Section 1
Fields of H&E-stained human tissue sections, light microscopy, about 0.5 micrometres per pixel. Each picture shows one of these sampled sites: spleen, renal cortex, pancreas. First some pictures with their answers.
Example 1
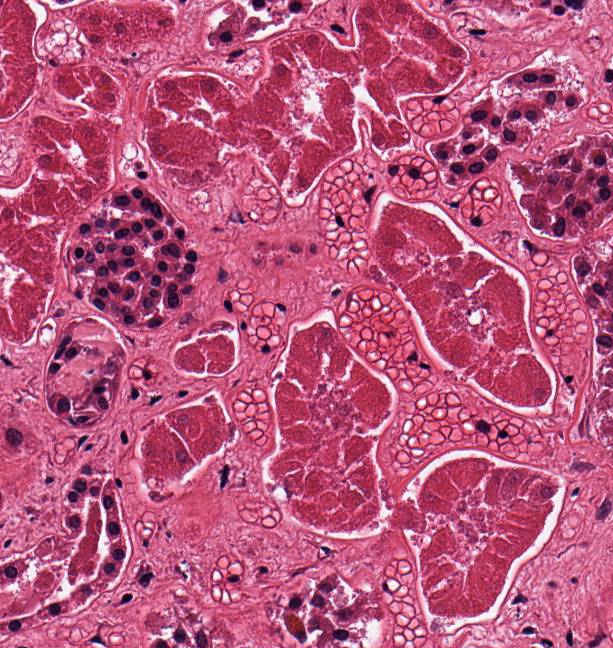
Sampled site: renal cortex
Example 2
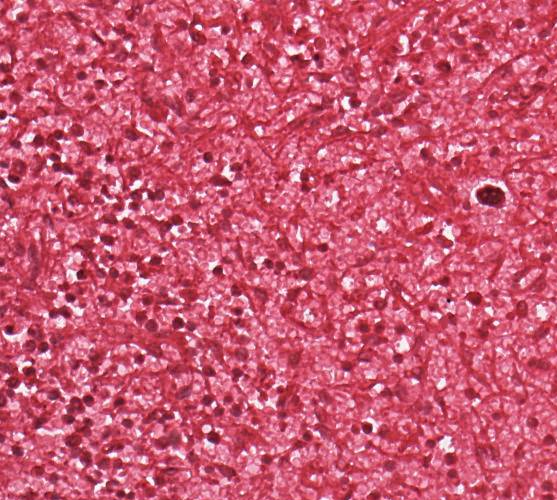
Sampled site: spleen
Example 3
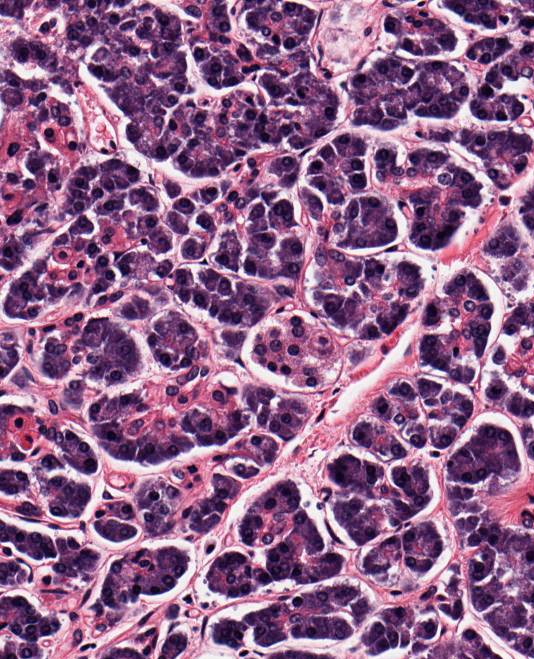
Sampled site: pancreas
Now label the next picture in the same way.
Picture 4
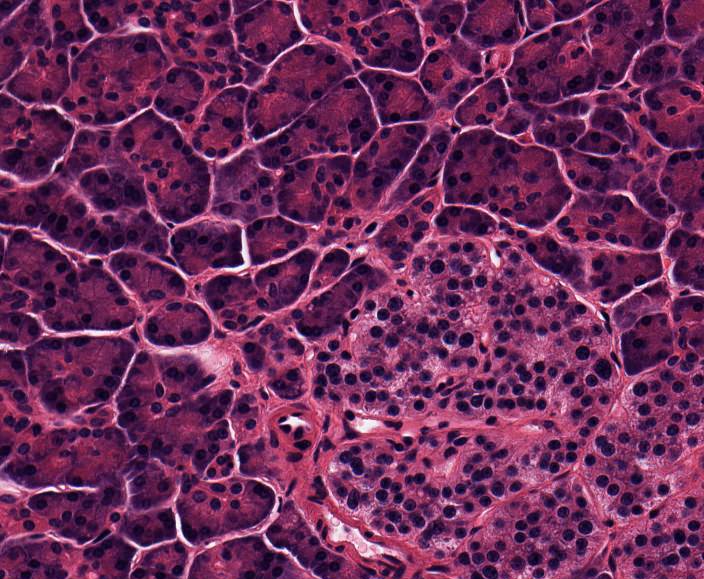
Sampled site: pancreas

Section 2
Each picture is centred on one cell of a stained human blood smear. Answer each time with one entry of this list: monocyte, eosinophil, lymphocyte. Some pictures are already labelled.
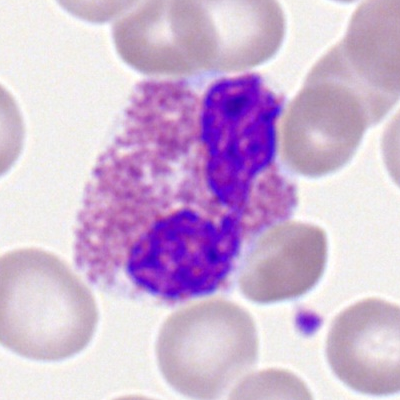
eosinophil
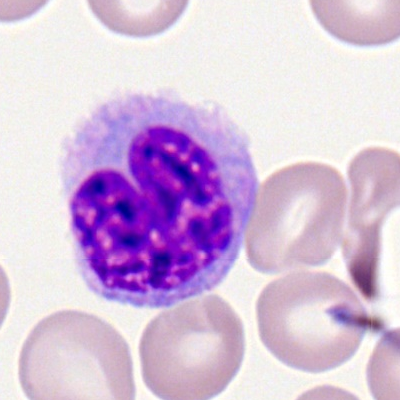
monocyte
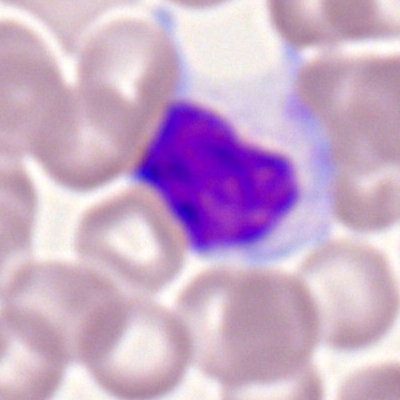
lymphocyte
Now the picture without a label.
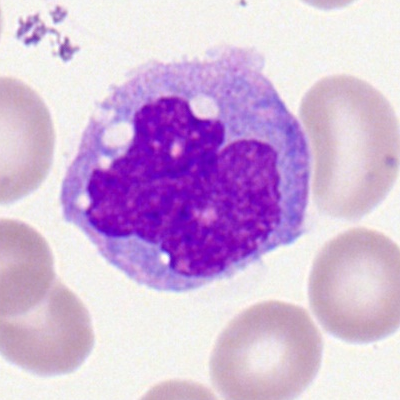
monocyte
